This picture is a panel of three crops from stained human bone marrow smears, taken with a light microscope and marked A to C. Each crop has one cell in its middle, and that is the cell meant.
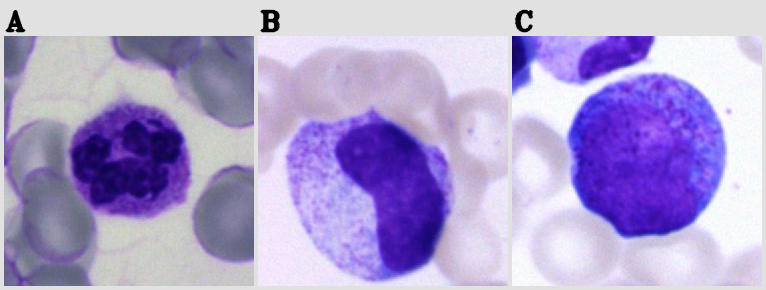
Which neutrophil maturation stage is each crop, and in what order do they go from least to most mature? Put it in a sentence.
From least to most mature, the order is crop C (a promyelocyte), crop B (a metamyelocyte) and crop A (a segmented neutrophil).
